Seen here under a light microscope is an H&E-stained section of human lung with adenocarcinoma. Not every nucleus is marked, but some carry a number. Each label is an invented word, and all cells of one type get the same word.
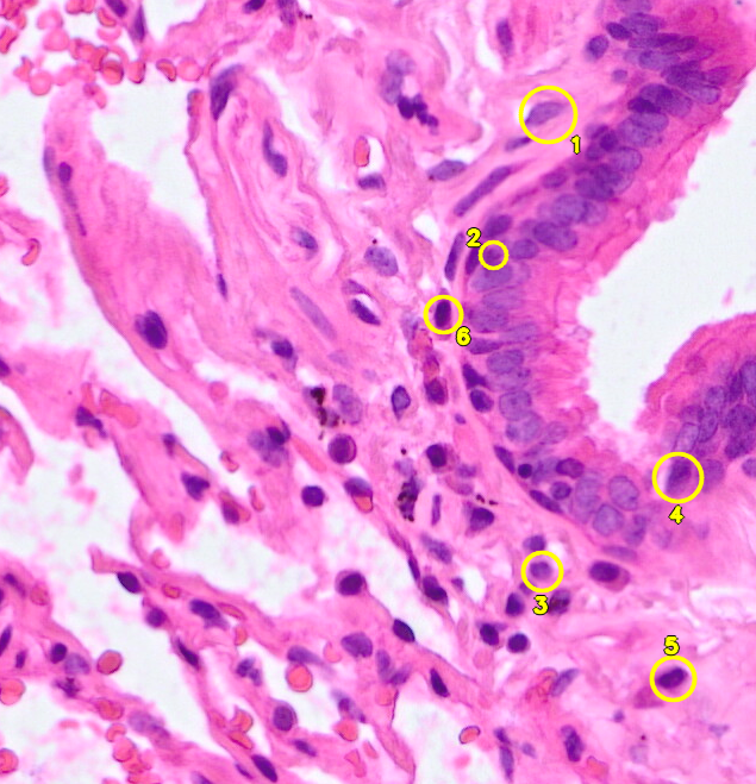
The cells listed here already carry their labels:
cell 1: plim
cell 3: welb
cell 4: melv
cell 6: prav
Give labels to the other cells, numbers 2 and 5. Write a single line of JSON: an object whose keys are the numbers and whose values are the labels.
{"2": "melv", "5": "prav"}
